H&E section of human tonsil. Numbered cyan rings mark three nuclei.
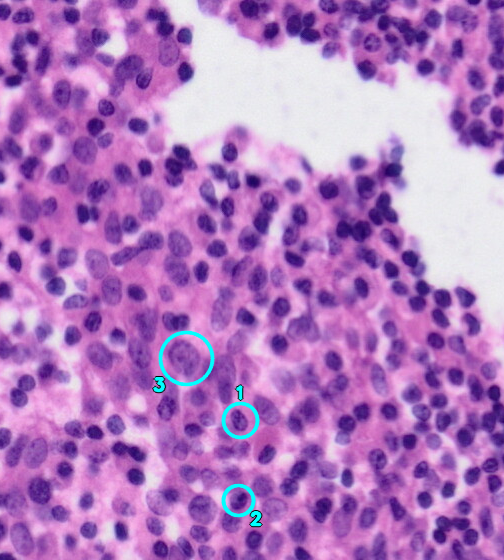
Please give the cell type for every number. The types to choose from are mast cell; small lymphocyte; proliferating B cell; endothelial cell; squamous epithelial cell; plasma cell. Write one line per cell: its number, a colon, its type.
1: plasma cell
2: plasma cell
3: squamous epithelial cell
